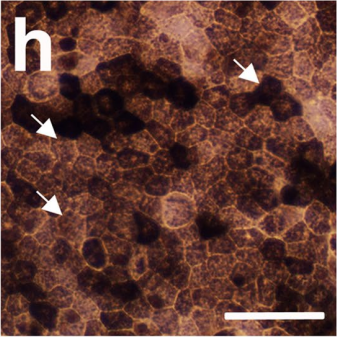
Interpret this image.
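A flat sheet of pigmented retinal pigment epithelium cells is seen from above. The cells are polygonal, mostly five- or six-sided, of fairly even size and packed edge to edge in a cobblestone mosaic with crisp, pale borders. Their cytoplasm holds brown pigment whose density differs strongly between neighbours: some cells are nearly black, others light tan, giving a patchy pattern. Darker cells tend to lie in small groups scattered through the sheet. No gaps or multilayered heaps are evident; the layer appears one cell thick.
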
